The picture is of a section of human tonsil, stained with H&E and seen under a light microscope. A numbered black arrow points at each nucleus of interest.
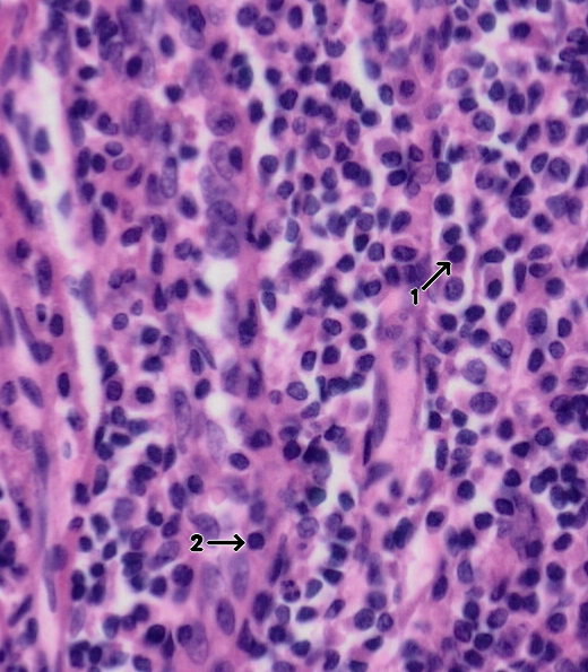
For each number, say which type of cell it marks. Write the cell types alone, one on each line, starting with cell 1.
plasma cell
endothelial cell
